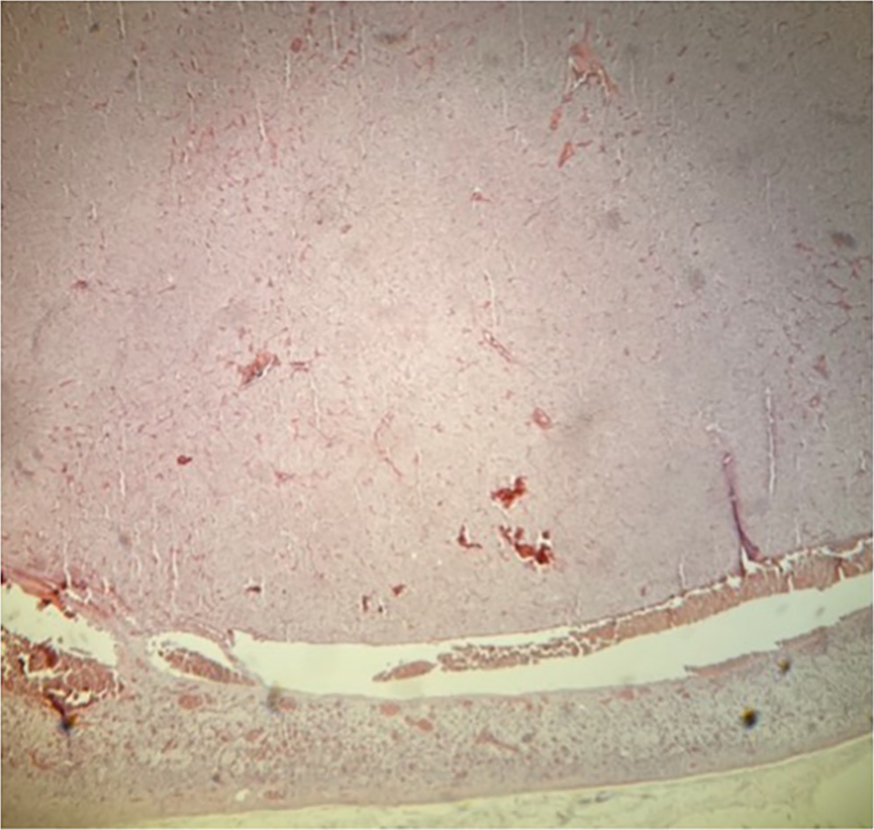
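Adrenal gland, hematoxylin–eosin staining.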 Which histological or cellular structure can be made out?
Nodule.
